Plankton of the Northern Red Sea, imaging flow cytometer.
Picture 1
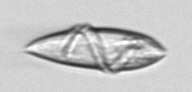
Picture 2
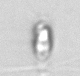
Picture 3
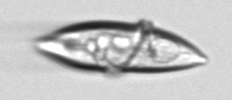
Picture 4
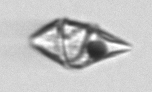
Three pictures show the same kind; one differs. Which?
Picture 2: Chrysochromulina parkeae, while the others are Gyrodinium.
